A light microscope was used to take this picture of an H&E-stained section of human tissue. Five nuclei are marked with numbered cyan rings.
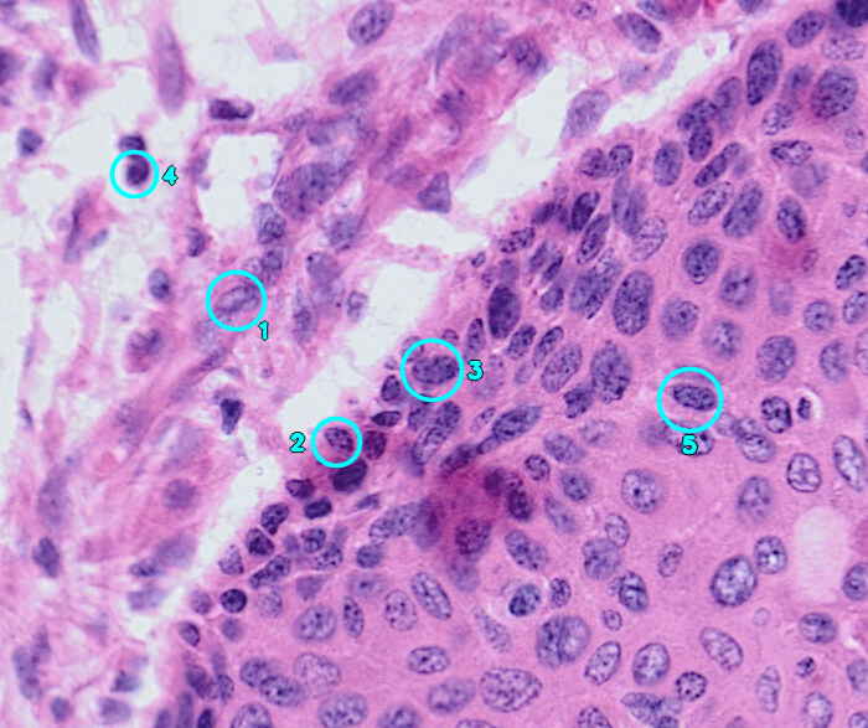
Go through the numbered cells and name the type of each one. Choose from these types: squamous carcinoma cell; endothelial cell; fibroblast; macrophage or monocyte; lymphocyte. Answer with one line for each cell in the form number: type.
1: endothelial cell
2: squamous carcinoma cell
3: squamous carcinoma cell
4: lymphocyte
5: squamous carcinoma cell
